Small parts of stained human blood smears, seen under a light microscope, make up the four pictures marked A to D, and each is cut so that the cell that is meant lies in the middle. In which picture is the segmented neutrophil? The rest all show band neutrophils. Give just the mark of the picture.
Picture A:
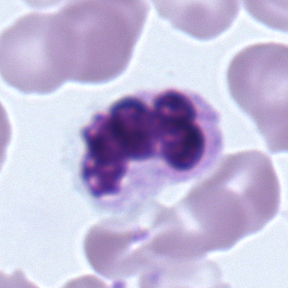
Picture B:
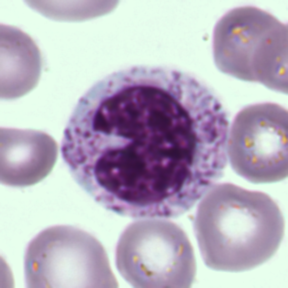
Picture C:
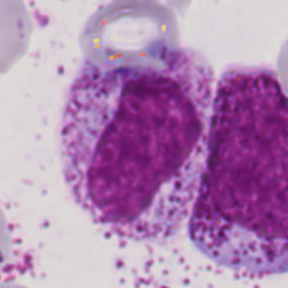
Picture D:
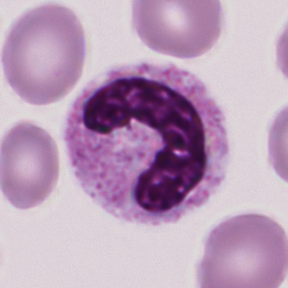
A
